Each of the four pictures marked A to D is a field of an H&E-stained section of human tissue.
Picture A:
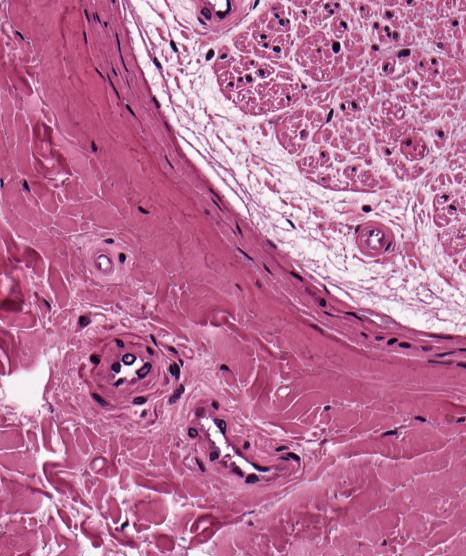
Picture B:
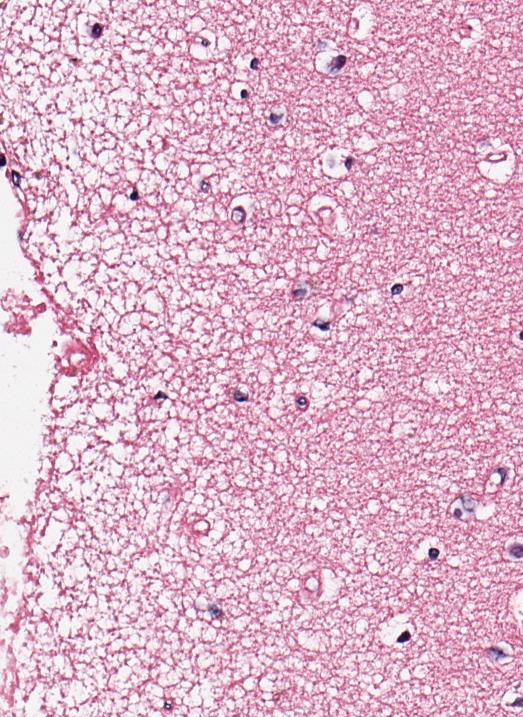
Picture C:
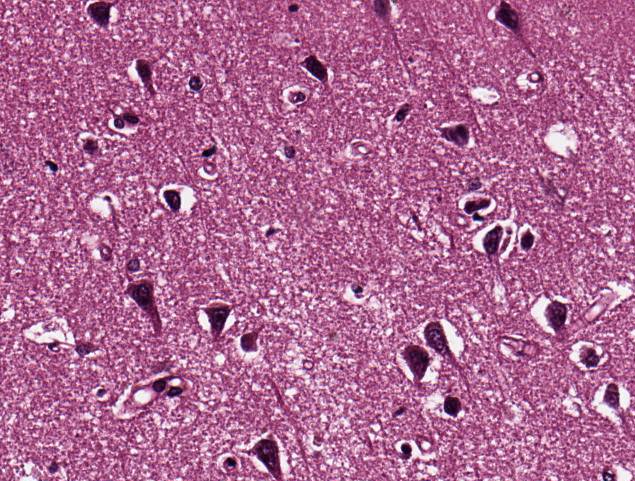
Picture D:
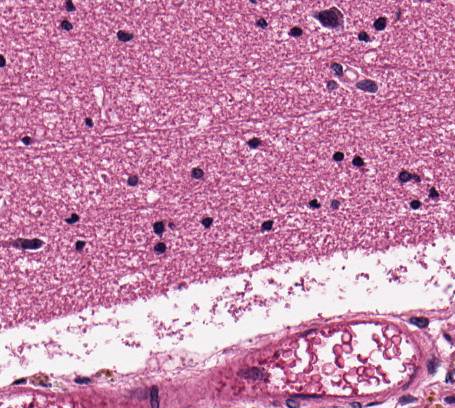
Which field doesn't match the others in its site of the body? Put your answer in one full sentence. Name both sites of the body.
All pictures except A come from the cerebral cortex; picture A comes from the tibial nerve.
